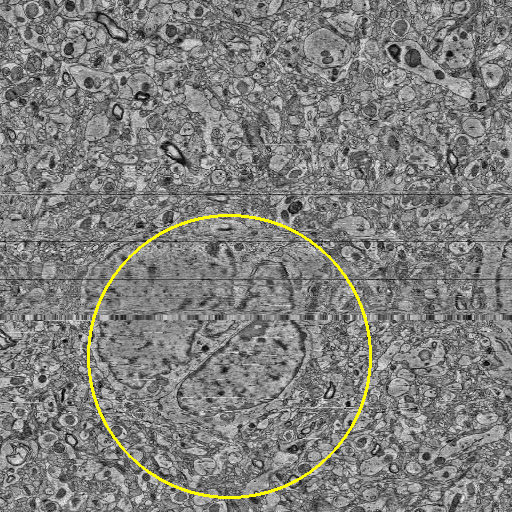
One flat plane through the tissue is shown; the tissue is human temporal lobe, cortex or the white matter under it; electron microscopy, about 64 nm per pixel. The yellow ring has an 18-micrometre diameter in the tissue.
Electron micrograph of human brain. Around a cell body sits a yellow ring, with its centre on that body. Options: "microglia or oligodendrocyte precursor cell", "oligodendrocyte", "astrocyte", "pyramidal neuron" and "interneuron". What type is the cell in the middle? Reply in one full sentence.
The cell sitting at the centre of the yellow ring is a microglial cell or oligodendrocyte precursor cell.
